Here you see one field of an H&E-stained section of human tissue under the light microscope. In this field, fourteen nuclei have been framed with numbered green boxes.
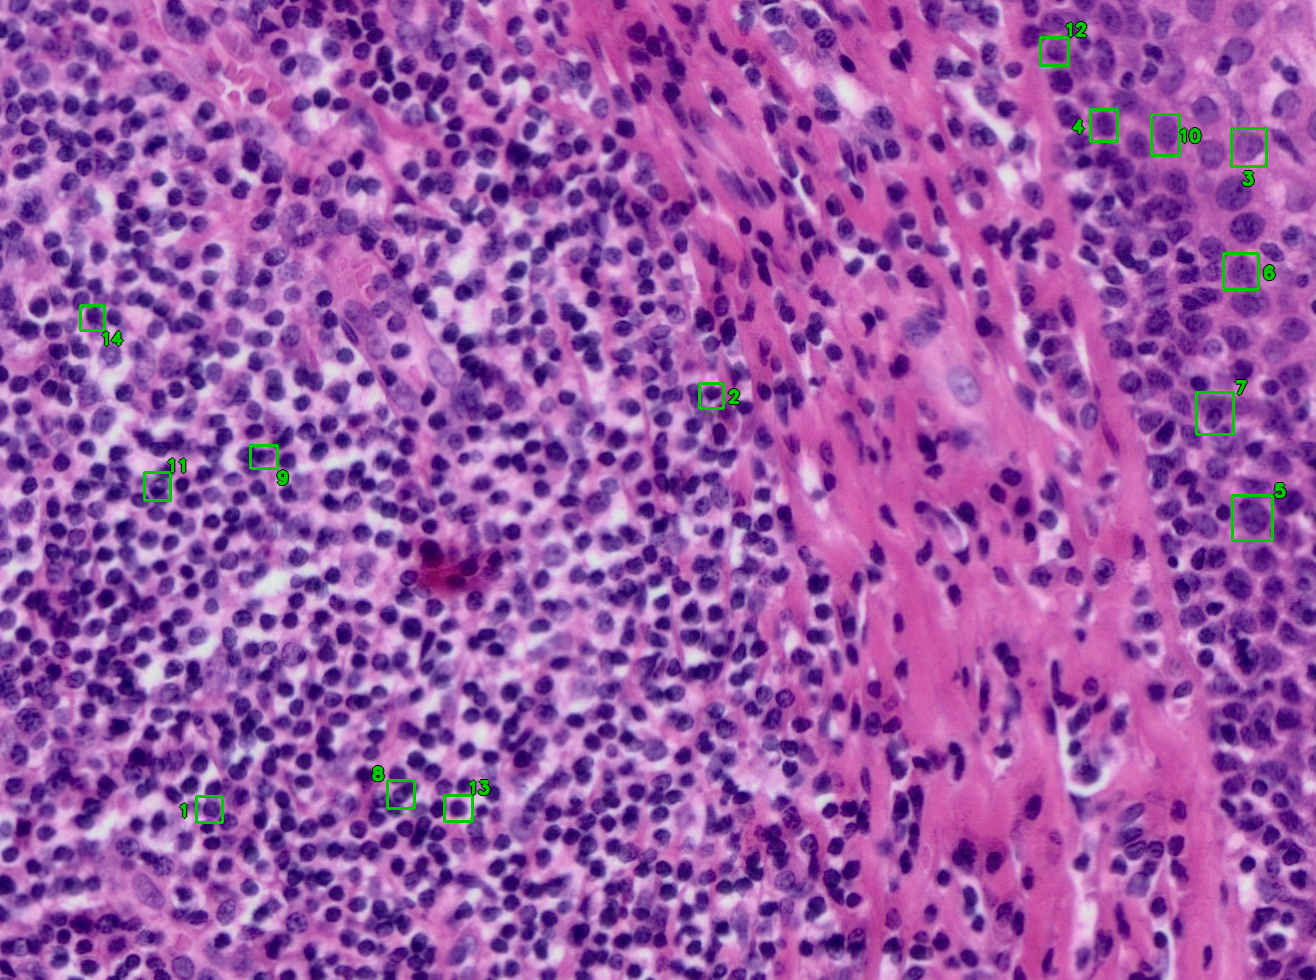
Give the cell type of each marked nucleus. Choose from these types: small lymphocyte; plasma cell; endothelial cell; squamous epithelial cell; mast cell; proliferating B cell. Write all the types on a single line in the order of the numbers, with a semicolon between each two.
small lymphocyte; small lymphocyte; squamous epithelial cell; squamous epithelial cell; squamous epithelial cell; squamous epithelial cell; squamous epithelial cell; small lymphocyte; small lymphocyte; squamous epithelial cell; small lymphocyte; squamous epithelial cell; small lymphocyte; small lymphocyte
